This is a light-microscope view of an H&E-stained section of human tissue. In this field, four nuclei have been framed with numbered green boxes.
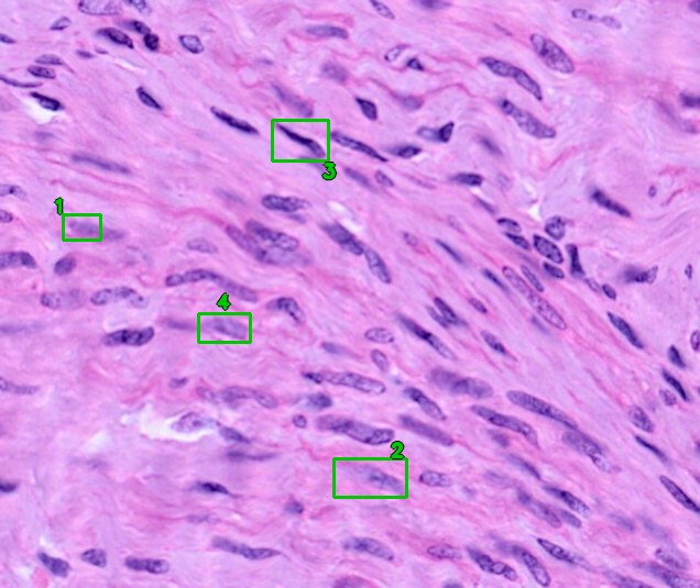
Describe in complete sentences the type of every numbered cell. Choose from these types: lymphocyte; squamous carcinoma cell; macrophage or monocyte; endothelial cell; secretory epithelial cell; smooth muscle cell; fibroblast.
Cell 1 is a smooth muscle cell, cell 2 is a smooth muscle cell, cell 3 is a fibroblast and cell 4 is a smooth muscle cell.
